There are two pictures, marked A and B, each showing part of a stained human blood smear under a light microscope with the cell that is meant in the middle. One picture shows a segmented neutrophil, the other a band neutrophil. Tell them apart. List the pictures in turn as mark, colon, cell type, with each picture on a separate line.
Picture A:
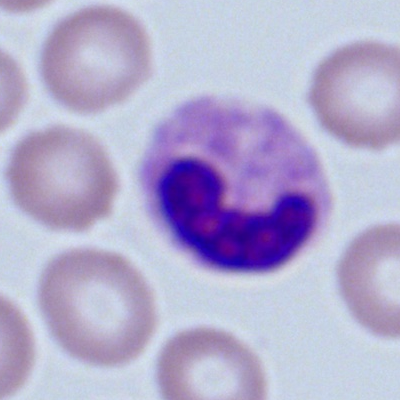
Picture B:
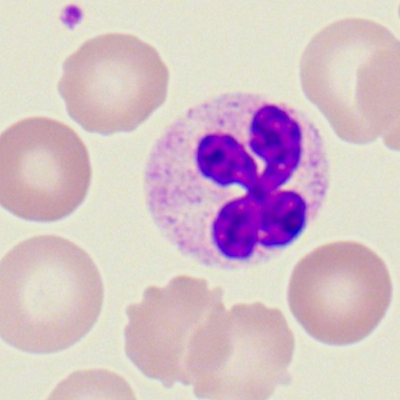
A: band neutrophil
B: segmented neutrophil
